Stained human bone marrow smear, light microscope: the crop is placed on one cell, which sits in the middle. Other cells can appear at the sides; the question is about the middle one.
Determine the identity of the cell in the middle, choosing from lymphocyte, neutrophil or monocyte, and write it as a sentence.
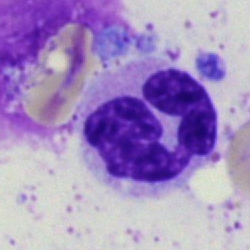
In this crop, the cell at the very middle is a neutrophil.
